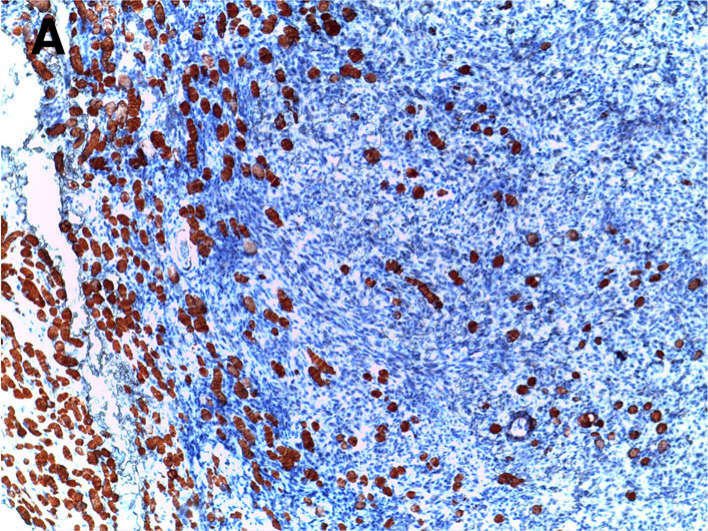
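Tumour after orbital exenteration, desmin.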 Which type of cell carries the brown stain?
Infiltrated skeletal muscle fibers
